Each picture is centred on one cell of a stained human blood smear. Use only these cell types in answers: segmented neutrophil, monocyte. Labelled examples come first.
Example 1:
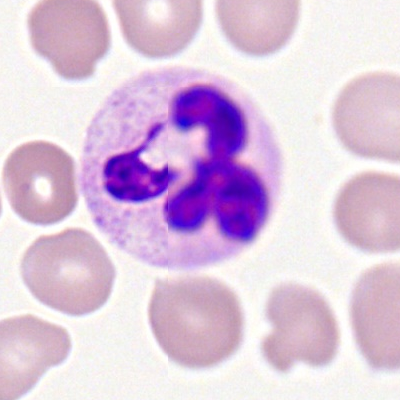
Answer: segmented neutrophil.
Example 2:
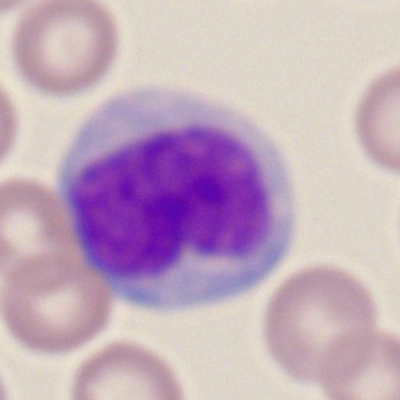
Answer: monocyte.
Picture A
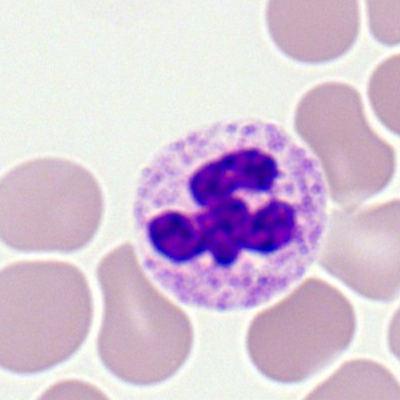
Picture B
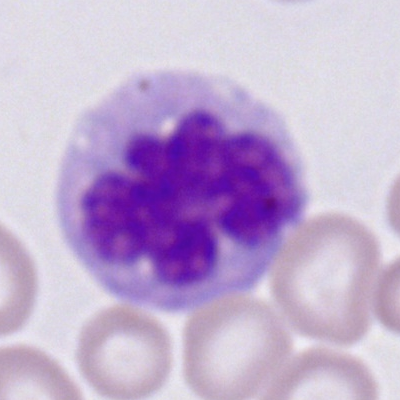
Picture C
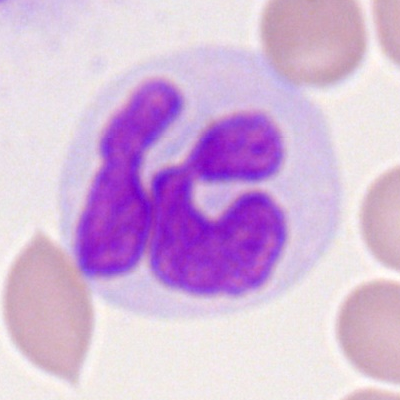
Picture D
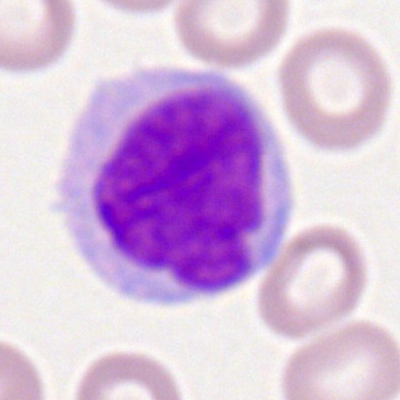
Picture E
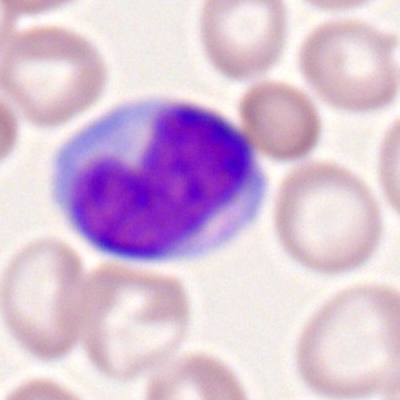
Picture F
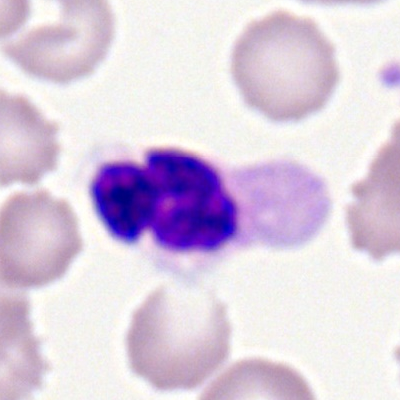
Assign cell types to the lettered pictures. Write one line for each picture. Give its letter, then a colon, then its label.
A: segmented neutrophil.
B: monocyte.
C: monocyte.
D: monocyte.
E: monocyte.
F: segmented neutrophil.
